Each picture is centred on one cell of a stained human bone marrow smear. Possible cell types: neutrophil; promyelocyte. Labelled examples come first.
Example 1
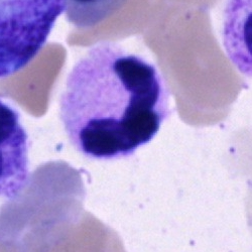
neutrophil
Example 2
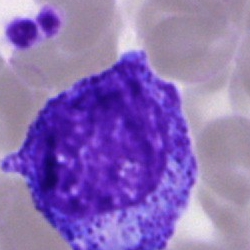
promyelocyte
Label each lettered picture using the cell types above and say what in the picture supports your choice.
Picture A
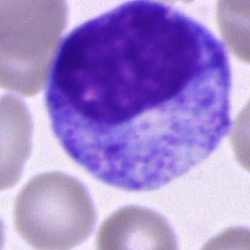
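promyelocyte. The chromatin is finely textured rather than coarsely clumped.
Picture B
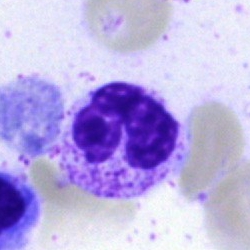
neutrophil. The chromatin is dark purple and coarsely clumped.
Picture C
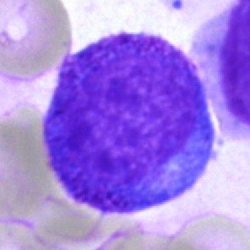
promyelocyte. The chromatin looks finely stippled rather than coarsely clumped.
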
